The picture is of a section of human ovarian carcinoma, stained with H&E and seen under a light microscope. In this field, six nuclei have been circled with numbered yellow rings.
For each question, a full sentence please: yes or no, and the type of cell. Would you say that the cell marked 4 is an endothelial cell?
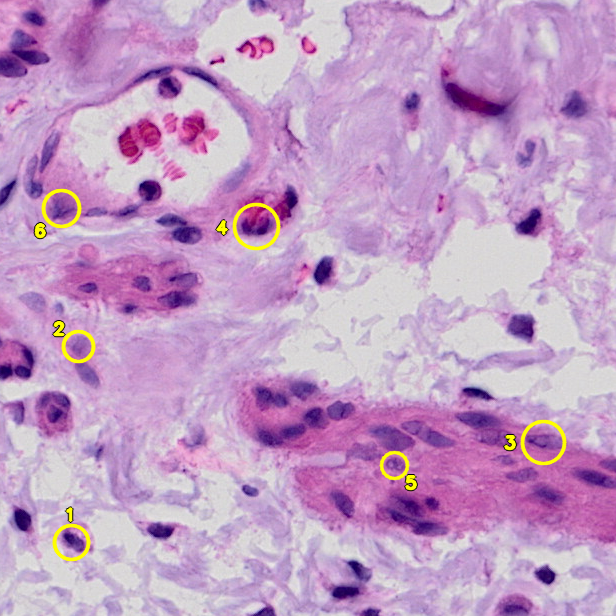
Yes, the cell with the mark numbered 4 is an endothelial cell.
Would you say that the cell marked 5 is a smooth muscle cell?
Yes, the numbered cell 5 is a smooth muscle cell.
